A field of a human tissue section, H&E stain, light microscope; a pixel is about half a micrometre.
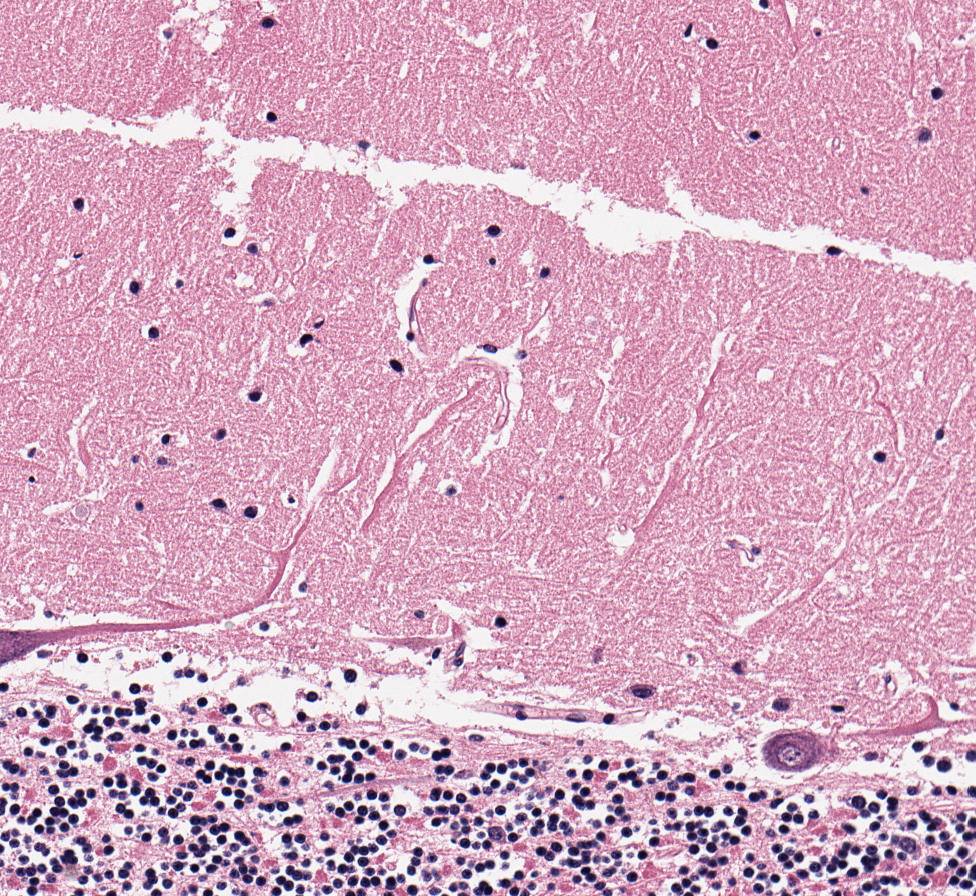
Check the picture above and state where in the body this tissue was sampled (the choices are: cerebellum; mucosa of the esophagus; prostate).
cerebellum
